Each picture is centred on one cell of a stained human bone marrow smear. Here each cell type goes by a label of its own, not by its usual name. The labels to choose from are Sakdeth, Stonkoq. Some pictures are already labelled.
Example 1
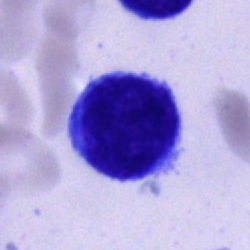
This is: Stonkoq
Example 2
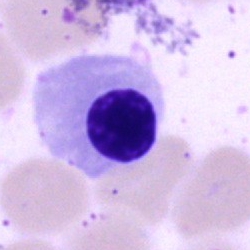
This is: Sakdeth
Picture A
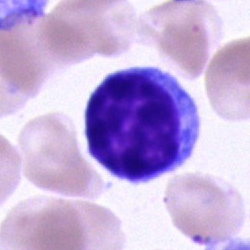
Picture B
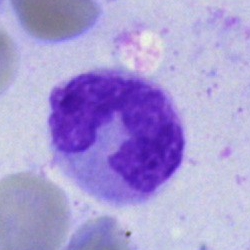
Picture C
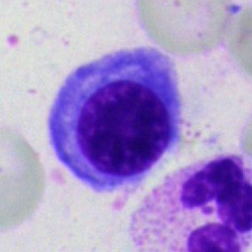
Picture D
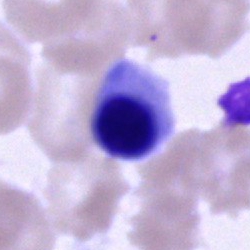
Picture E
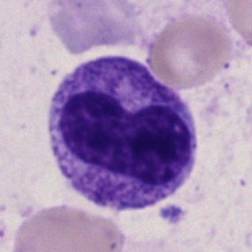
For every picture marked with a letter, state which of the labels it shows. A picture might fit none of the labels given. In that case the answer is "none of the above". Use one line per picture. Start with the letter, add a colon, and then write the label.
A: Stonkoq
B: none of the above
C: Sakdeth
D: Sakdeth
E: none of the above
